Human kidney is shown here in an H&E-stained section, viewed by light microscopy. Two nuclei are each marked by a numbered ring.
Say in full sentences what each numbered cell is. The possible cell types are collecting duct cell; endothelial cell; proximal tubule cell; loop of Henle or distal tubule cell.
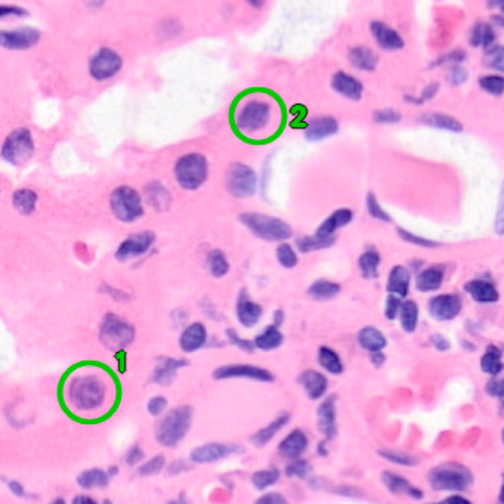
Cell 1 is a proximal tubule cell. Cell 2 is a loop of Henle or distal tubule cell.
